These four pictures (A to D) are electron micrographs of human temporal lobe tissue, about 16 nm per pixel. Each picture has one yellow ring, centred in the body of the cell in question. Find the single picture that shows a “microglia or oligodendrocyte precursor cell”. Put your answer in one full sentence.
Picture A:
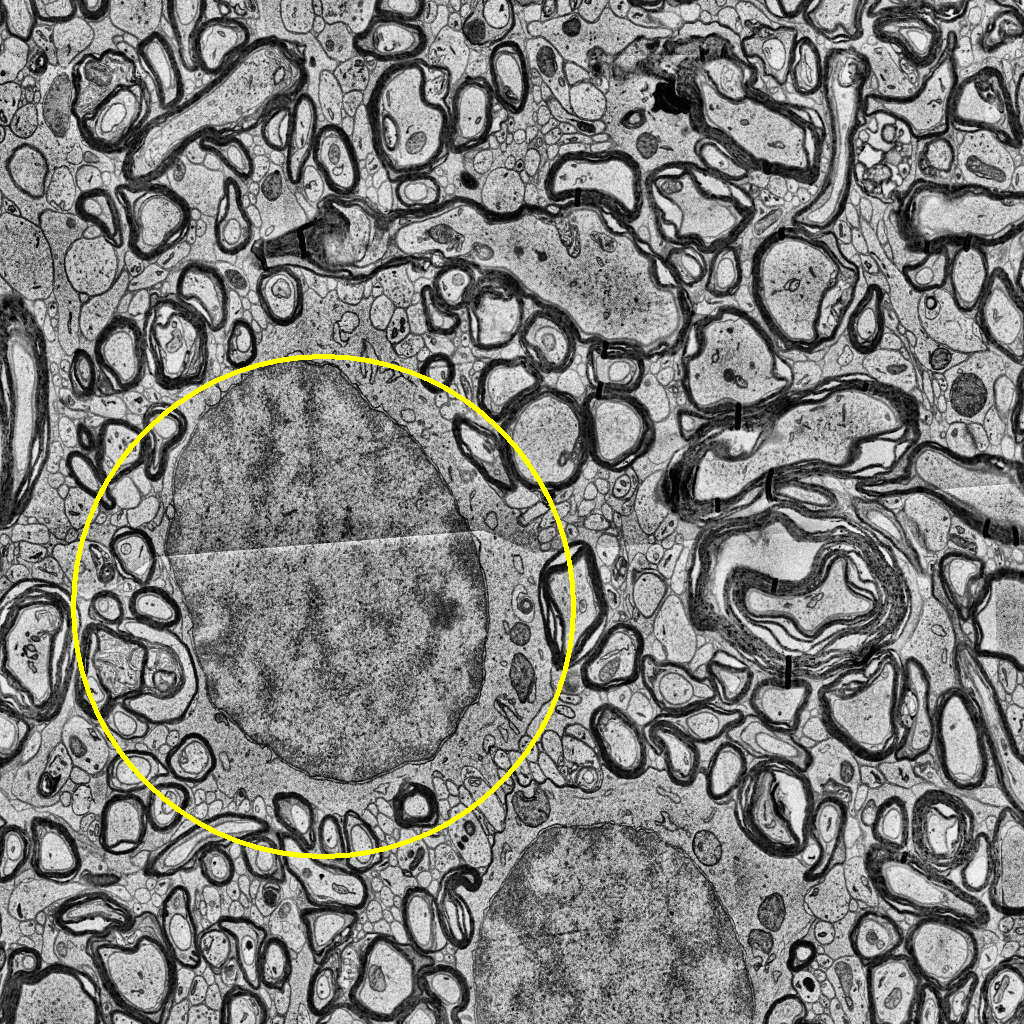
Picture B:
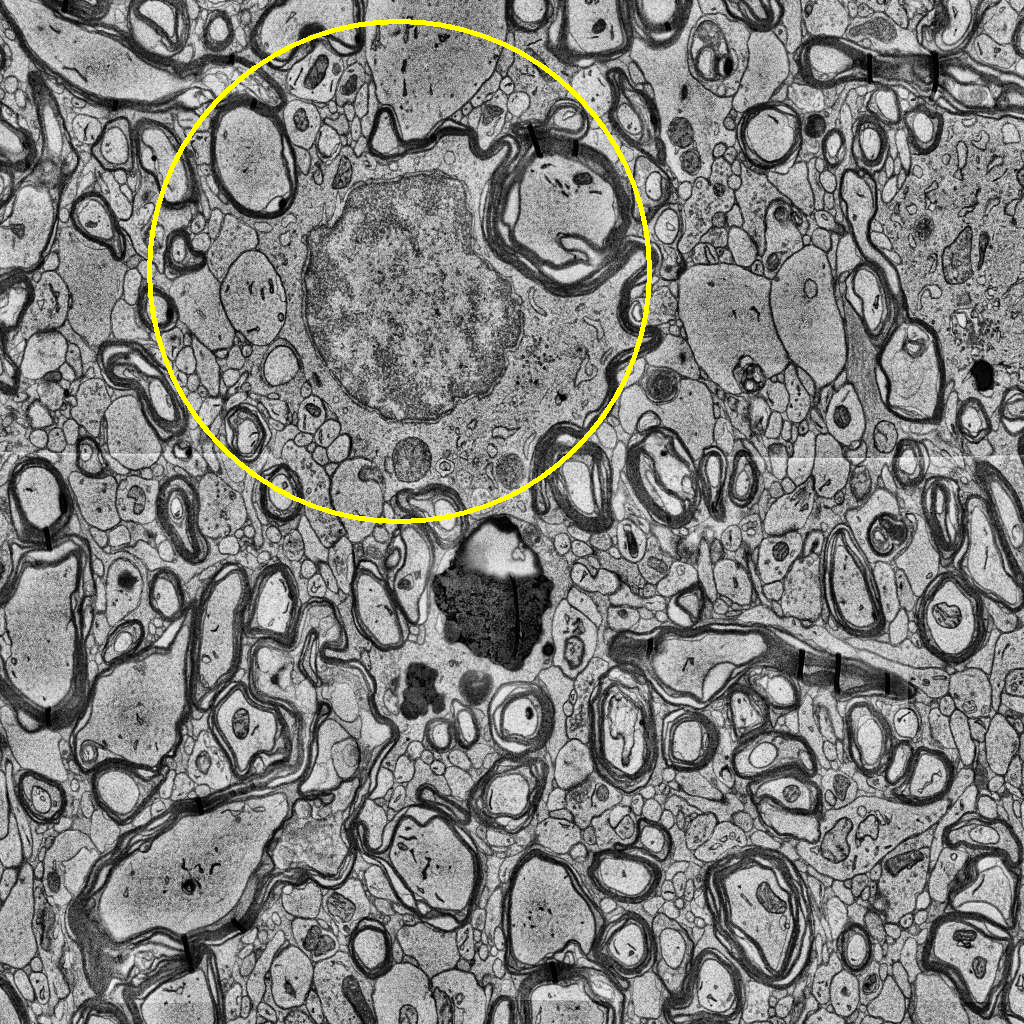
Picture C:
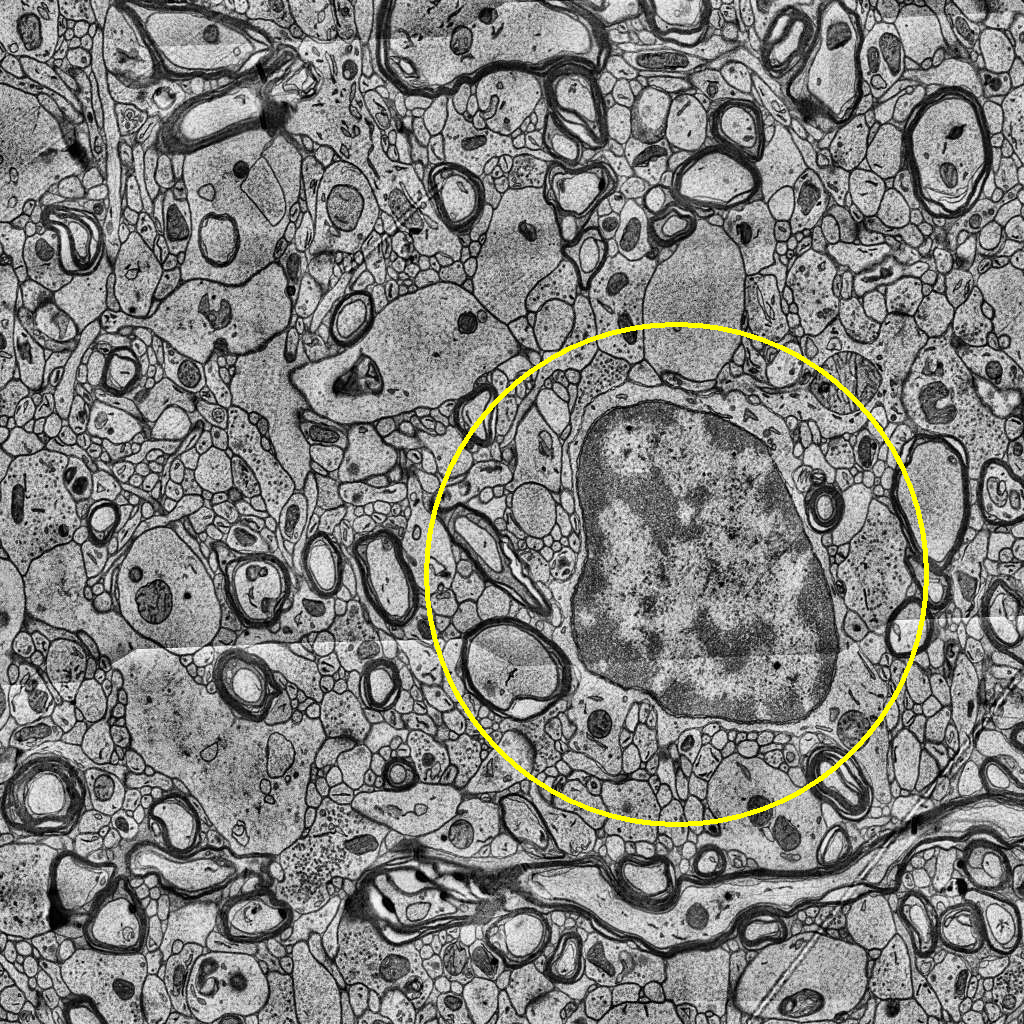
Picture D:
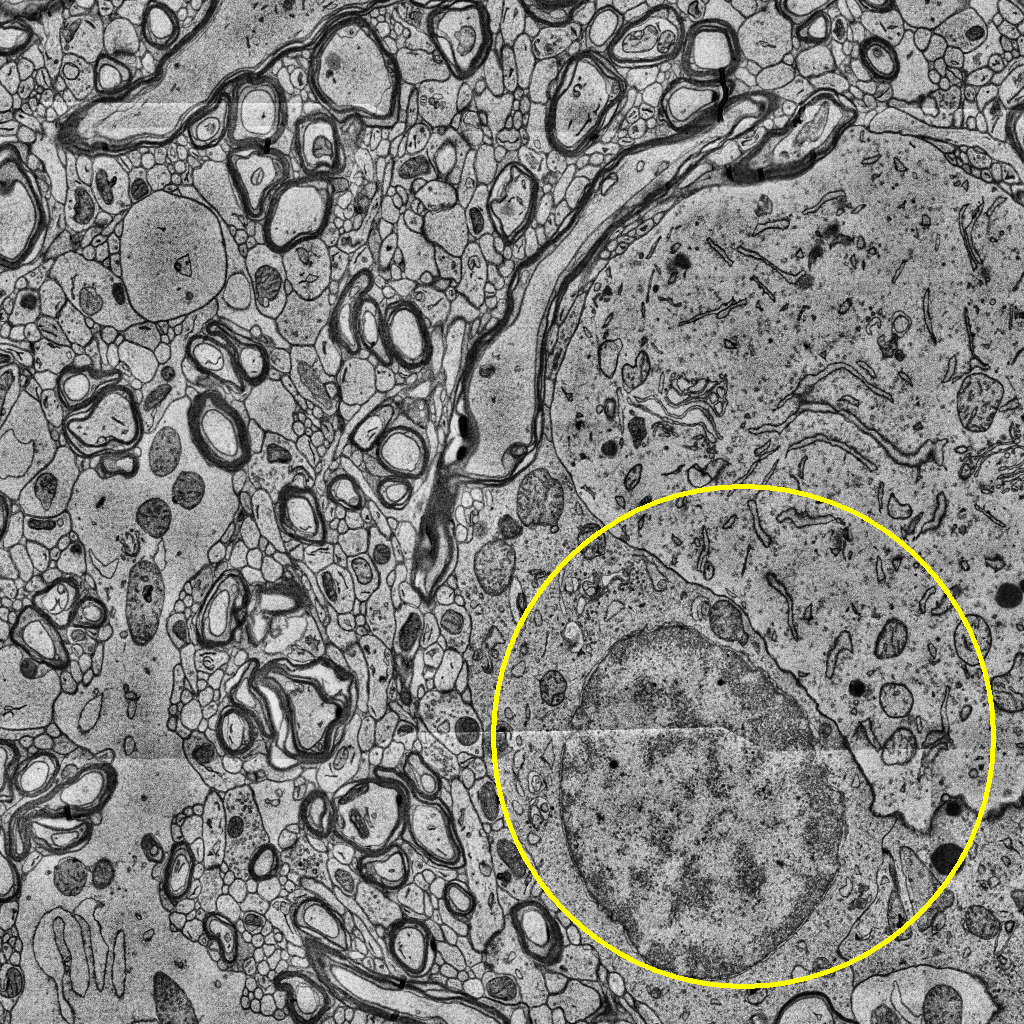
The cell in picture C is the “microglia or oligodendrocyte precursor cell”.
